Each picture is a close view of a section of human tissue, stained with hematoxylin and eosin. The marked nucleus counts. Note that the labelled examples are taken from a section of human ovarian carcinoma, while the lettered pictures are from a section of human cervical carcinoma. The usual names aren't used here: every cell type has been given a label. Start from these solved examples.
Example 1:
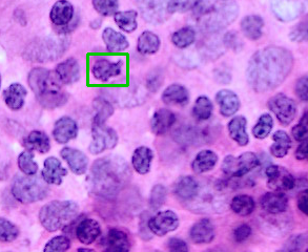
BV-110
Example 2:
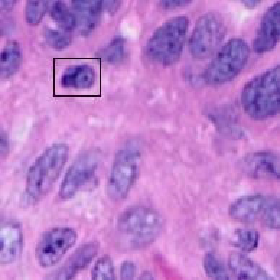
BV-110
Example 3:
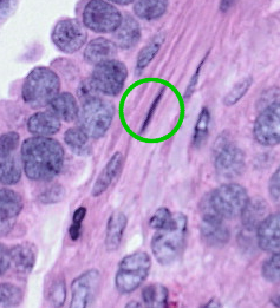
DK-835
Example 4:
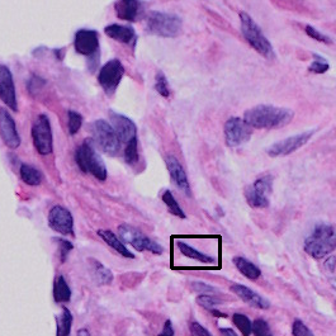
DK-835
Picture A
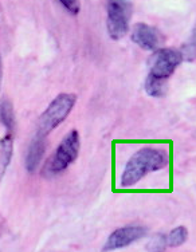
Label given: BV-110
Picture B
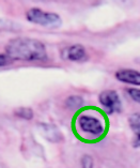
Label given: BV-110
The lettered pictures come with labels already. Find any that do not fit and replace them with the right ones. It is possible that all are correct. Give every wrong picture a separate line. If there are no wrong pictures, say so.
A: not BV-110 but DK-835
